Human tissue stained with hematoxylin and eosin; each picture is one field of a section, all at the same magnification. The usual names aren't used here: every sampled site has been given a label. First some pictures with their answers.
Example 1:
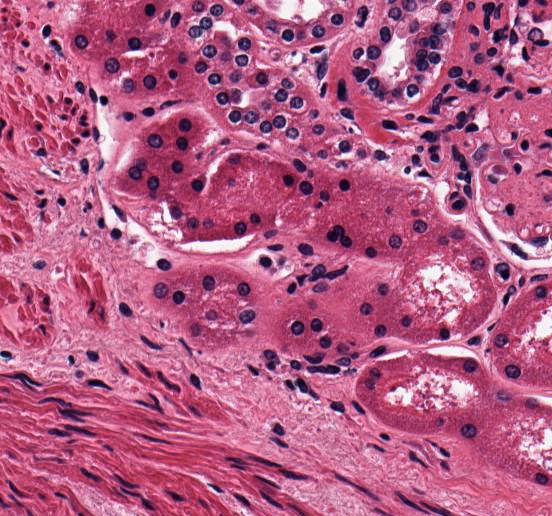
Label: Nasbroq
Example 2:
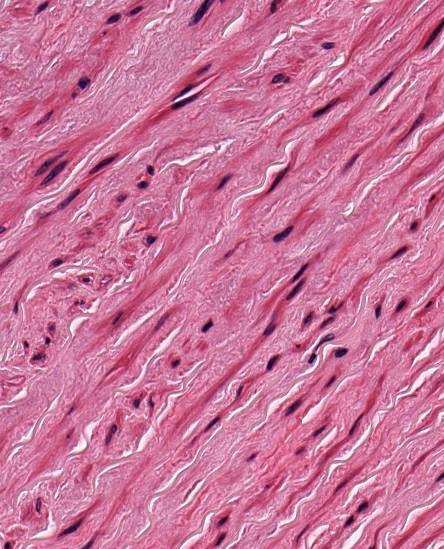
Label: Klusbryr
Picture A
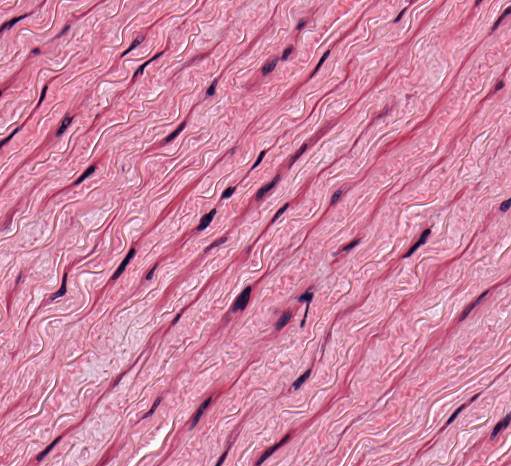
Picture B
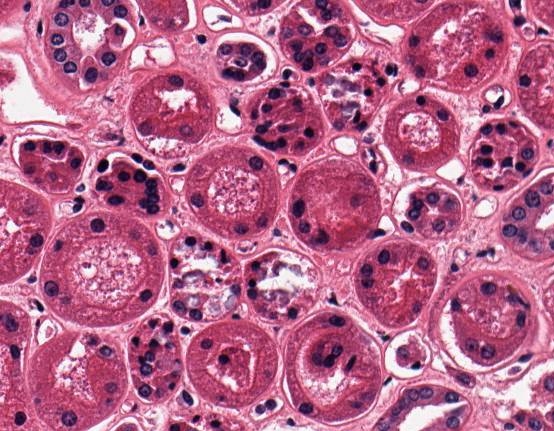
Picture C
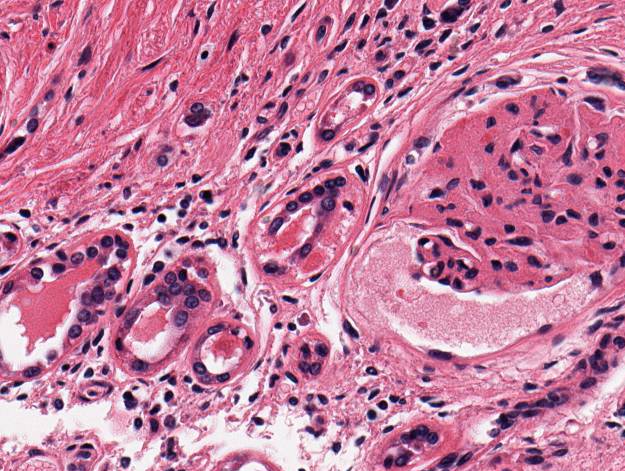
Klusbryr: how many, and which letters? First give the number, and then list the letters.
Count: 1 (A)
